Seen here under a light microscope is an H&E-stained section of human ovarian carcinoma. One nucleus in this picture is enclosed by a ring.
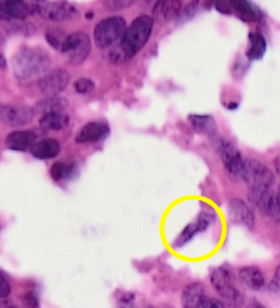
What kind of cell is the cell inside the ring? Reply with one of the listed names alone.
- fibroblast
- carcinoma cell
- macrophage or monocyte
macrophage or monocyte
